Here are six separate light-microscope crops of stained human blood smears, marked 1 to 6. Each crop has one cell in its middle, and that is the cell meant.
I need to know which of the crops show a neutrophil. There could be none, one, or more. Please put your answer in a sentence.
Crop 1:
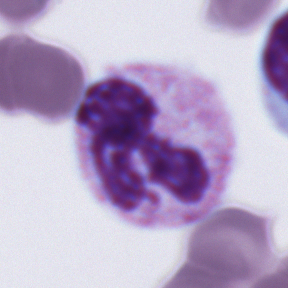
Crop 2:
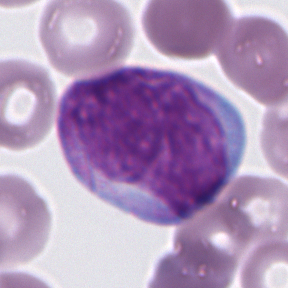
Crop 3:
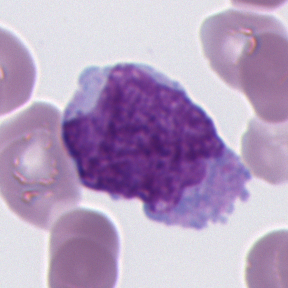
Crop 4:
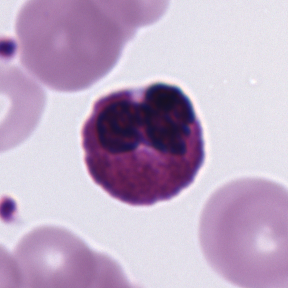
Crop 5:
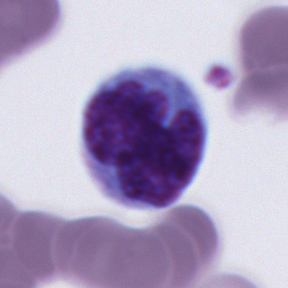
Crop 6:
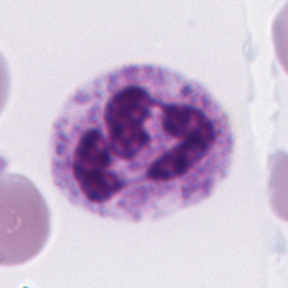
With respect to crops 1 and 6, the cells shown are neutrophils.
